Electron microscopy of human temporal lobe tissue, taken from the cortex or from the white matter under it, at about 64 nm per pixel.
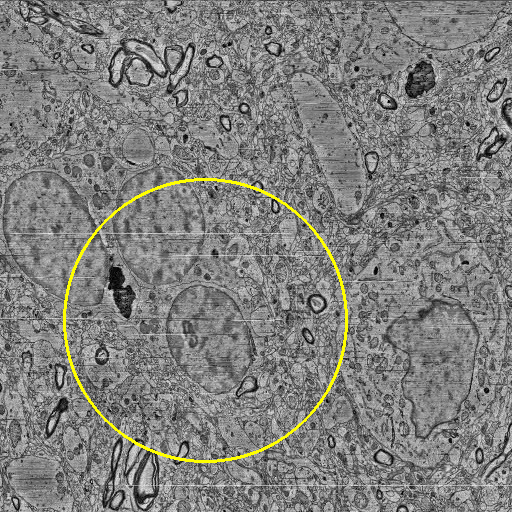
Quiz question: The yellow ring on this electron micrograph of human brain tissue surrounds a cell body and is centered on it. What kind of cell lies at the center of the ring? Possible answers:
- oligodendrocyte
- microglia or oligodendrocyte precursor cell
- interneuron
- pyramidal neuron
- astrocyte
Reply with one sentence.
The ring's center lies on an oligodendrocyte.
